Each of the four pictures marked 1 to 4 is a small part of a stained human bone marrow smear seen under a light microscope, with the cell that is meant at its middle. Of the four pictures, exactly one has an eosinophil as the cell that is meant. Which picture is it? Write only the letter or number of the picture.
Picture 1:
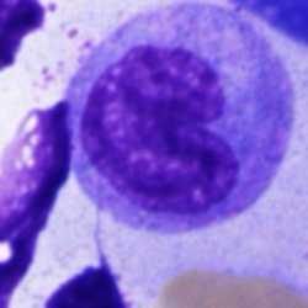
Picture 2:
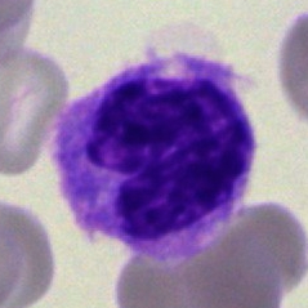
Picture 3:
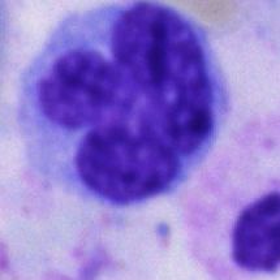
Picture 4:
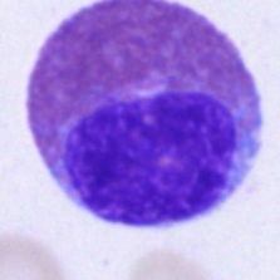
4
